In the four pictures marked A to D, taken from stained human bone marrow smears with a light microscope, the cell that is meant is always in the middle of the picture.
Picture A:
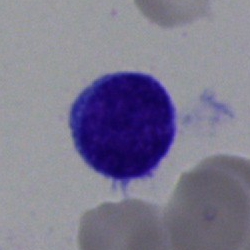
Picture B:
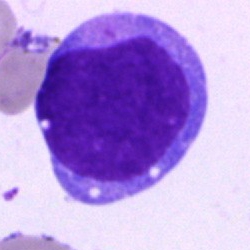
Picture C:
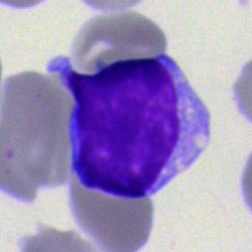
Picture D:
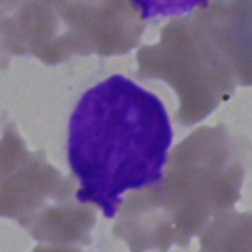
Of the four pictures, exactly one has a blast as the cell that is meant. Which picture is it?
B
